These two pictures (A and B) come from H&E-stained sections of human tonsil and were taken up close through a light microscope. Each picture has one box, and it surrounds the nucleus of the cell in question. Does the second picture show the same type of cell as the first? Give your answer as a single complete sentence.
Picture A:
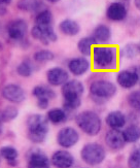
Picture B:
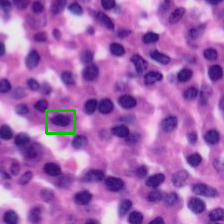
Yes; the cells in both pictures are plasma cells.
